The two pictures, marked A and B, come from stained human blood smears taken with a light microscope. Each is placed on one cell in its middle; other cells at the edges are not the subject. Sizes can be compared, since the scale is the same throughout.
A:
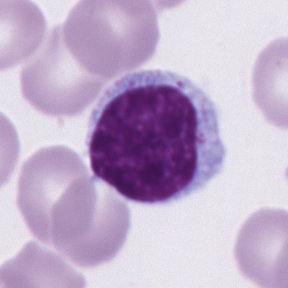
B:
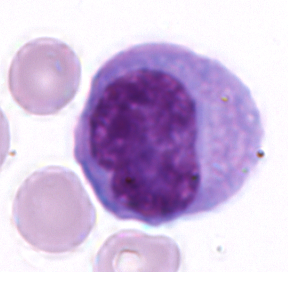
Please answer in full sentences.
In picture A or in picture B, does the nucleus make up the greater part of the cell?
Of the two, the nucleus in picture A makes up the greater part of its cell.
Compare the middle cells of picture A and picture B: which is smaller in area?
Smaller is the cell in picture A, and the other is about 2 times as large in area.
